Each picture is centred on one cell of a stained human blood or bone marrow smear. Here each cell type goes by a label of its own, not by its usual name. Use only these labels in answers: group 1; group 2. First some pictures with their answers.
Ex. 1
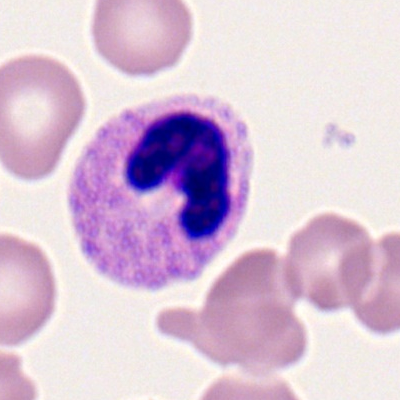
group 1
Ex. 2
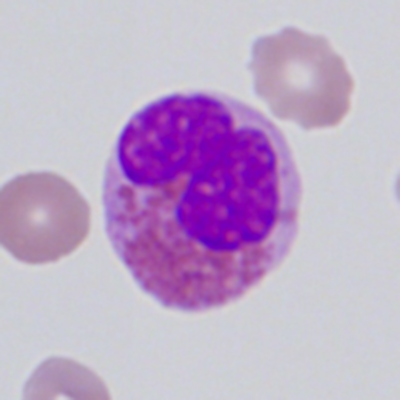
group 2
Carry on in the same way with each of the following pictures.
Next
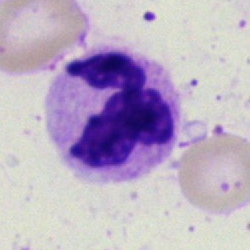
group 1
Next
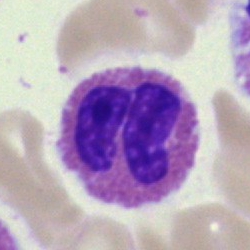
group 2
